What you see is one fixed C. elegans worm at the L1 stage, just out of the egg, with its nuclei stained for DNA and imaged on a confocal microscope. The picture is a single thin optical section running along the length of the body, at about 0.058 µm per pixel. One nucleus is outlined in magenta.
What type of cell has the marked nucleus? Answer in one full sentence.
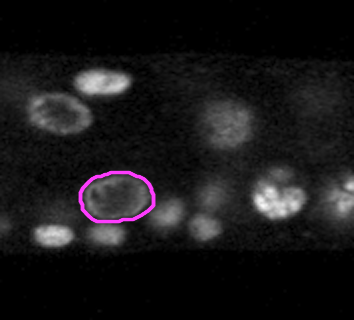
It is the nucleus of an intestinal cell.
